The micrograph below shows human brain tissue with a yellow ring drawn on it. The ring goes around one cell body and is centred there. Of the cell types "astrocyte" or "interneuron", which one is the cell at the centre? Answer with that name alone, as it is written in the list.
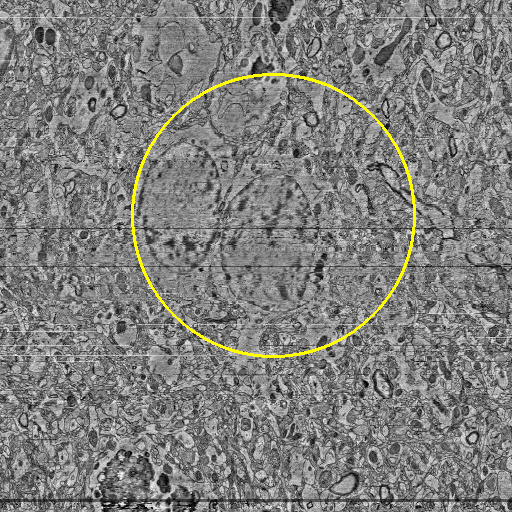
astrocyte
